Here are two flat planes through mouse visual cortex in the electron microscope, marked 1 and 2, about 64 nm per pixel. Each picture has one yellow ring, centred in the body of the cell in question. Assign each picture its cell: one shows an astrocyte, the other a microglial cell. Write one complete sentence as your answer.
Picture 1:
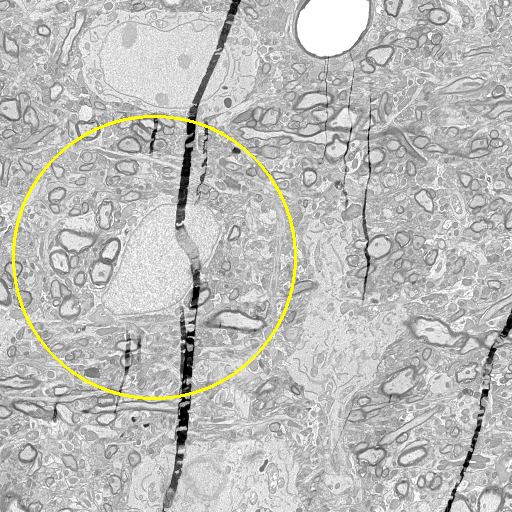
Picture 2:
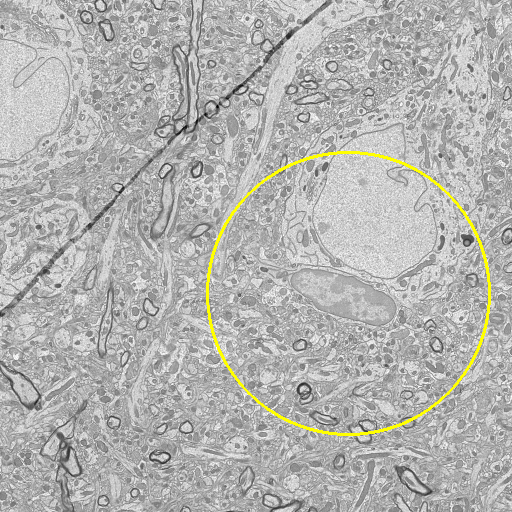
The cell in picture 1 is an astrocyte, and the one in picture 2 is a microglial cell.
